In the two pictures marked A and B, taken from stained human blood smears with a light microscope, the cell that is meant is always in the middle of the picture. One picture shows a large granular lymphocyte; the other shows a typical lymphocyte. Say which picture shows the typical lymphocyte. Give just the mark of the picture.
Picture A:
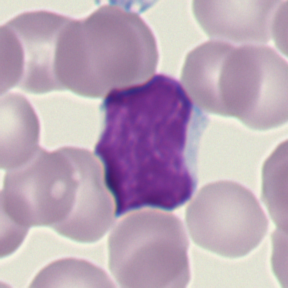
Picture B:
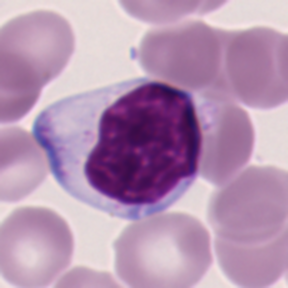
A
